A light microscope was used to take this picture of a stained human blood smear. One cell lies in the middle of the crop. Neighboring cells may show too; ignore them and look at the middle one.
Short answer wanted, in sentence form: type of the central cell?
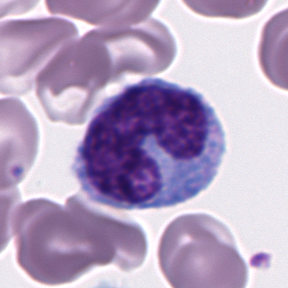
At the center of the crop sits a monocyte.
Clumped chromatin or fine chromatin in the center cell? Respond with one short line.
Answer: the chromatin in this nucleus is coarsely clumped.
